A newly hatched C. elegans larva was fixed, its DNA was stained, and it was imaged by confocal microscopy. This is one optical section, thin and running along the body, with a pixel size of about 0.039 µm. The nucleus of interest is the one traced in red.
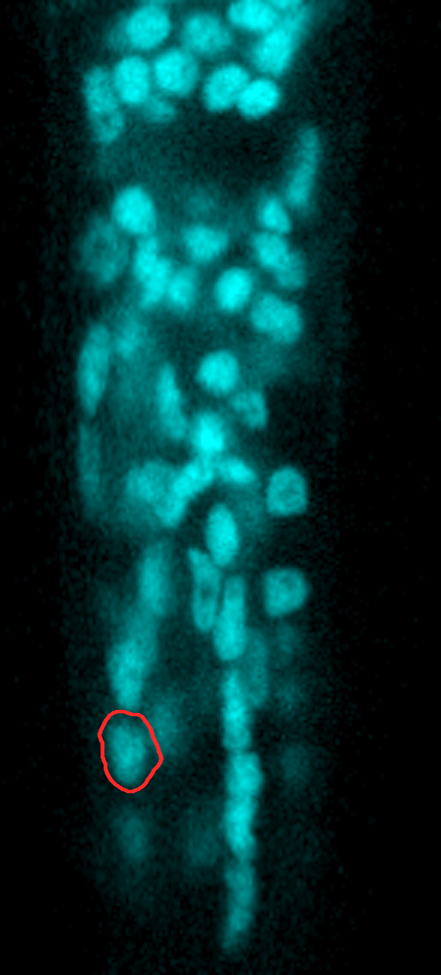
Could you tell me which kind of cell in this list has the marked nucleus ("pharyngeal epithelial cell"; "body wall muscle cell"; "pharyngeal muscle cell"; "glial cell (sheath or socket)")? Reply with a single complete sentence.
The marked cell is a glial cell (sheath or socket).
